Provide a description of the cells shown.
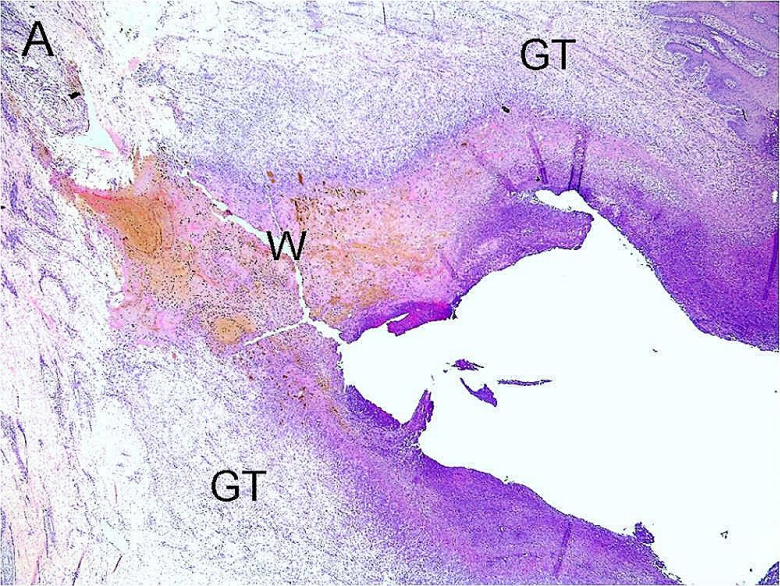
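At the wound an orange-brown zone with scattered dark granules and red-pink material marks bleeding and necrotic debris; beside it a deeply purple, cell-crowded rim of inflammatory cells lines the open cleft. Outward the tissue becomes paler, loose and finely cellular with streaks of pink fibres, typical of young granulation tissue. No hair follicles or glands are seen in the field. At far left denser pink fibrous tissue remains.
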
